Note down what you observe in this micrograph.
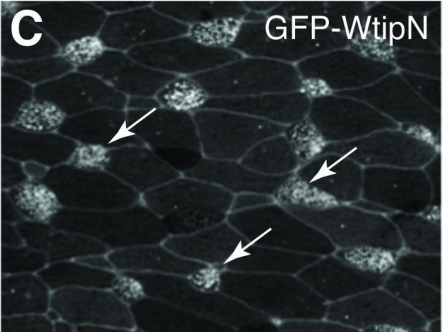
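This is the surface of the embryonic skin, a sheet of large, flat polygonal cells with a few smaller multiciliated cells scattered among them. The large cells are outlined by thin, faint bright borders and have dark, fairly uniform interiors. The multiciliated cells sit singly between the larger cells, each with a rounded or irregular apical face.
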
